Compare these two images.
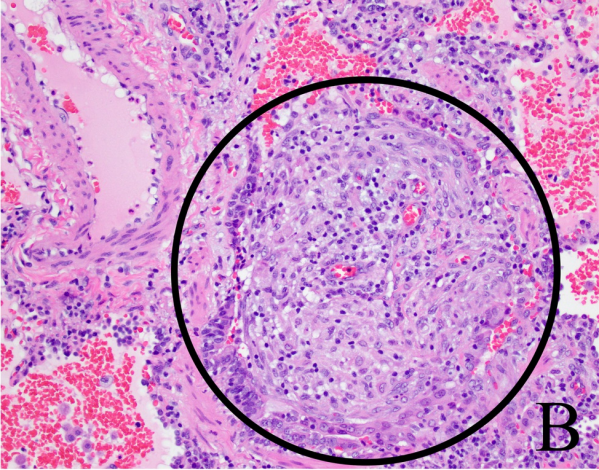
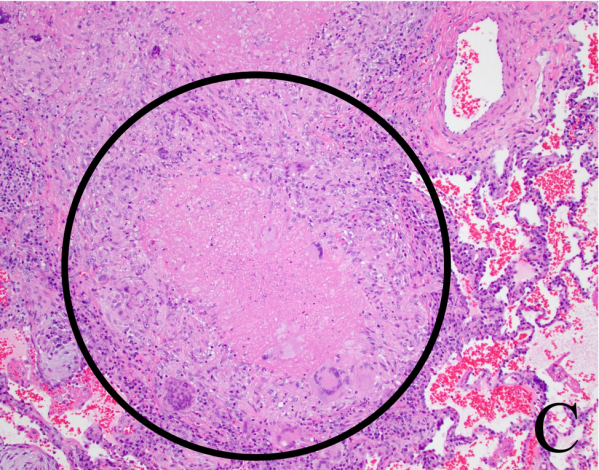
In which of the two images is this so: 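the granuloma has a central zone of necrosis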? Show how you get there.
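The second image. Second image: the circled nodule has a broad pale pink amorphous centre without intact cells. First image: the circled nodule is made of packed intact pale cells throughout, with no amorphous centre.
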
